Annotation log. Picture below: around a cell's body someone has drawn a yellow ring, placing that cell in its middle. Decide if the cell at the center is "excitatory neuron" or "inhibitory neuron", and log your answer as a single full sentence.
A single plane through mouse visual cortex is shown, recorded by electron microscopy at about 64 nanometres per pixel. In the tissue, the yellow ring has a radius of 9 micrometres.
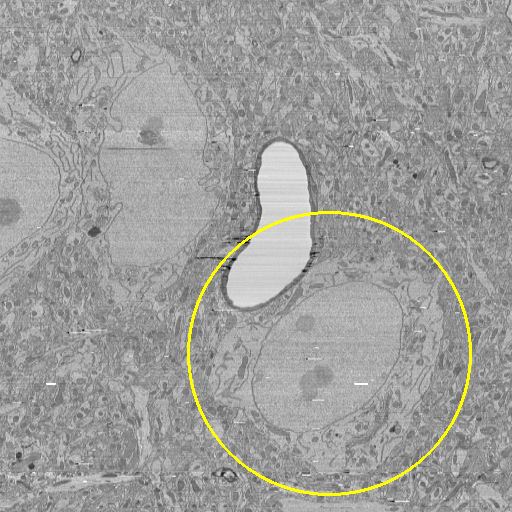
My entry records an excitatory neuron as the cell sitting at the center of the yellow ring.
